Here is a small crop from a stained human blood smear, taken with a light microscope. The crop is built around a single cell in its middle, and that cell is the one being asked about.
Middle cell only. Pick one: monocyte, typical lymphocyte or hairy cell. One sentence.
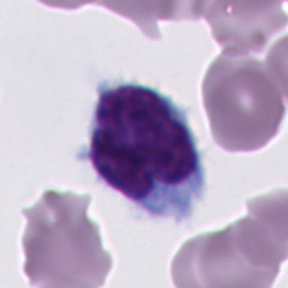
The cell of interest, located centrally, is a hairy cell.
